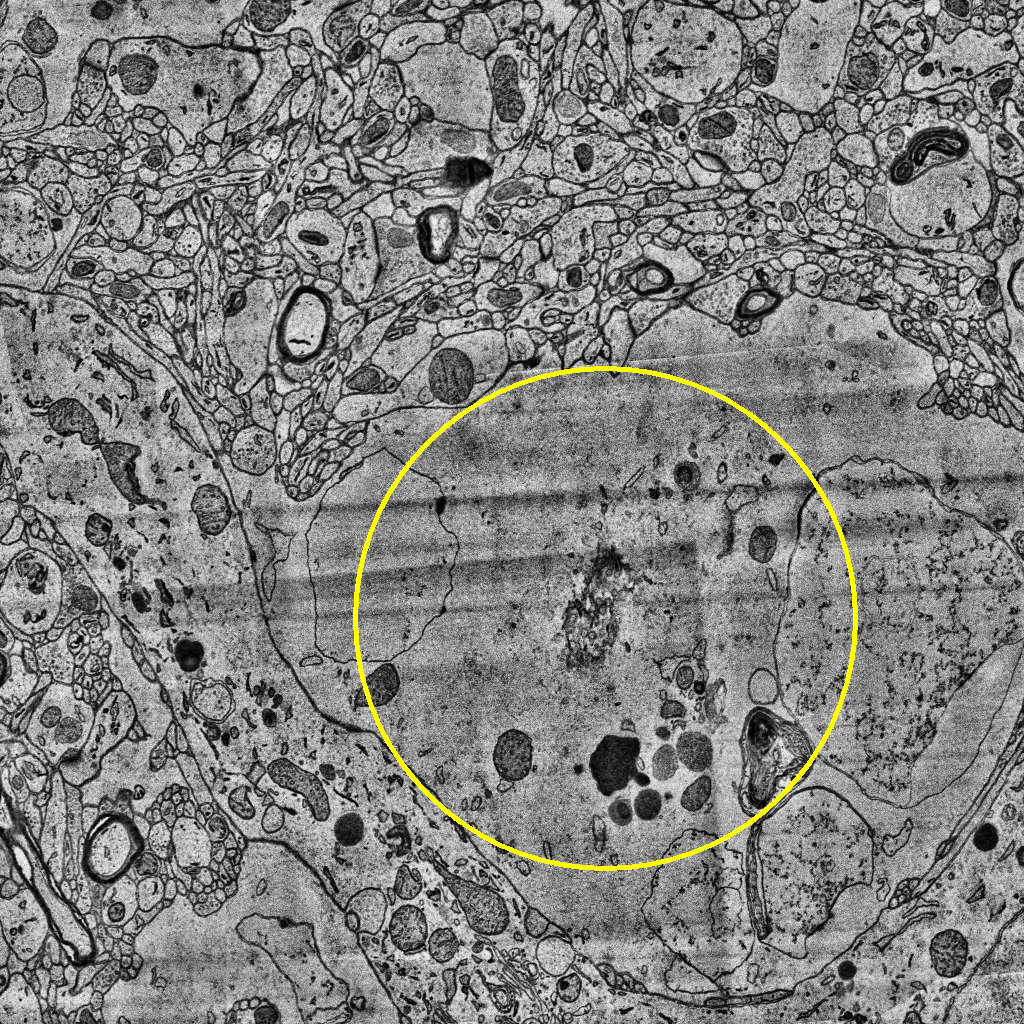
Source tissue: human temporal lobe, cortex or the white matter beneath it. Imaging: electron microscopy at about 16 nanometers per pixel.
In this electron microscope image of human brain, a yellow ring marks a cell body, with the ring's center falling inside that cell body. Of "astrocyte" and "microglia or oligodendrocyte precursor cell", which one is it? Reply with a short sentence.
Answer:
It is an astrocyte at the center of the ring.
